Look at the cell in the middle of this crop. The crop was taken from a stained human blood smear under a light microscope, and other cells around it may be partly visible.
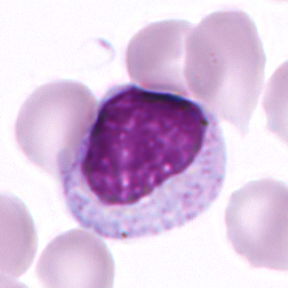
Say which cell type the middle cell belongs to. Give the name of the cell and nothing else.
metamyelocyte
